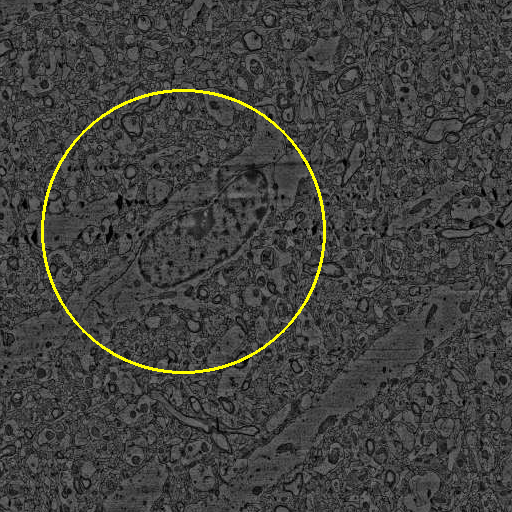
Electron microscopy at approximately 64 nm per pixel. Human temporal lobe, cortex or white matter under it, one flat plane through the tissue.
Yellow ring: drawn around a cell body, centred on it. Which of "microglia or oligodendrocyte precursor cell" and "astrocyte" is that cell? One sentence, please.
That cell body is from a microglial cell or oligodendrocyte precursor cell.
